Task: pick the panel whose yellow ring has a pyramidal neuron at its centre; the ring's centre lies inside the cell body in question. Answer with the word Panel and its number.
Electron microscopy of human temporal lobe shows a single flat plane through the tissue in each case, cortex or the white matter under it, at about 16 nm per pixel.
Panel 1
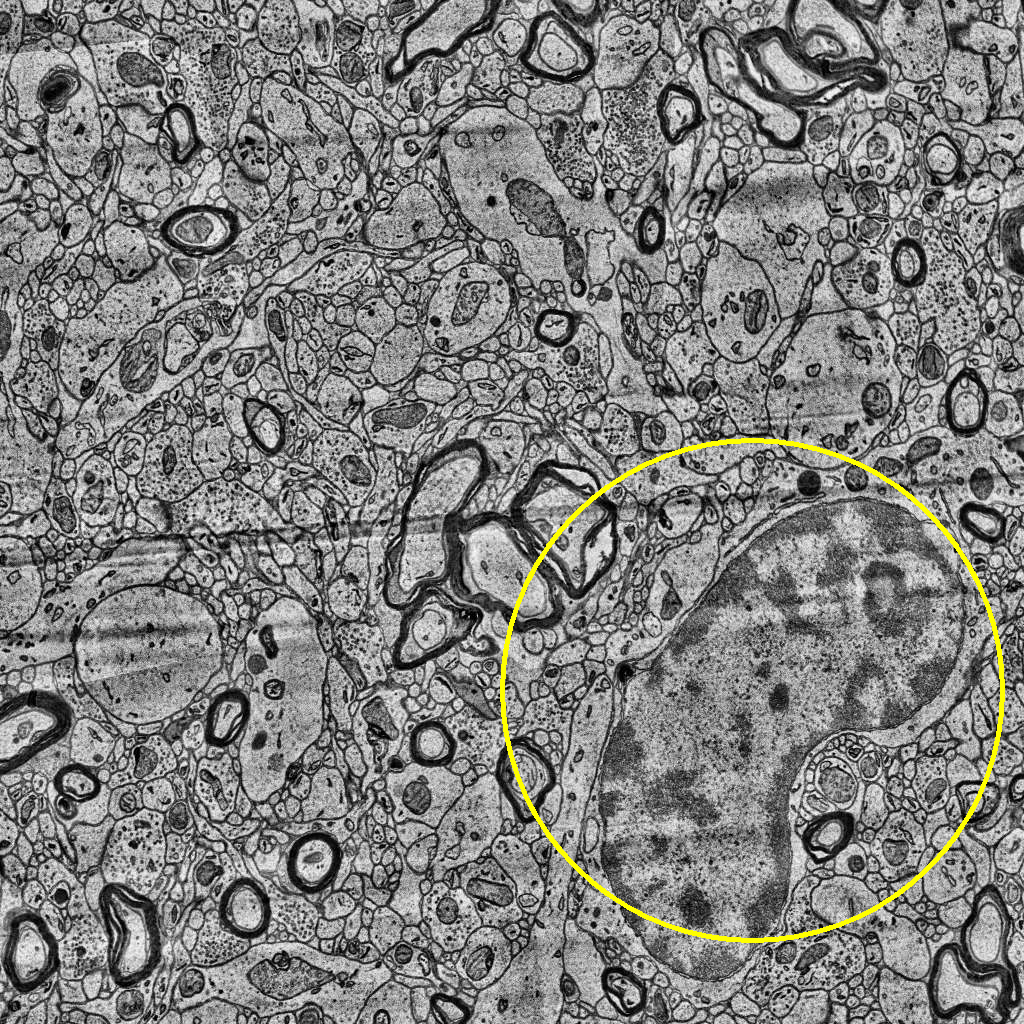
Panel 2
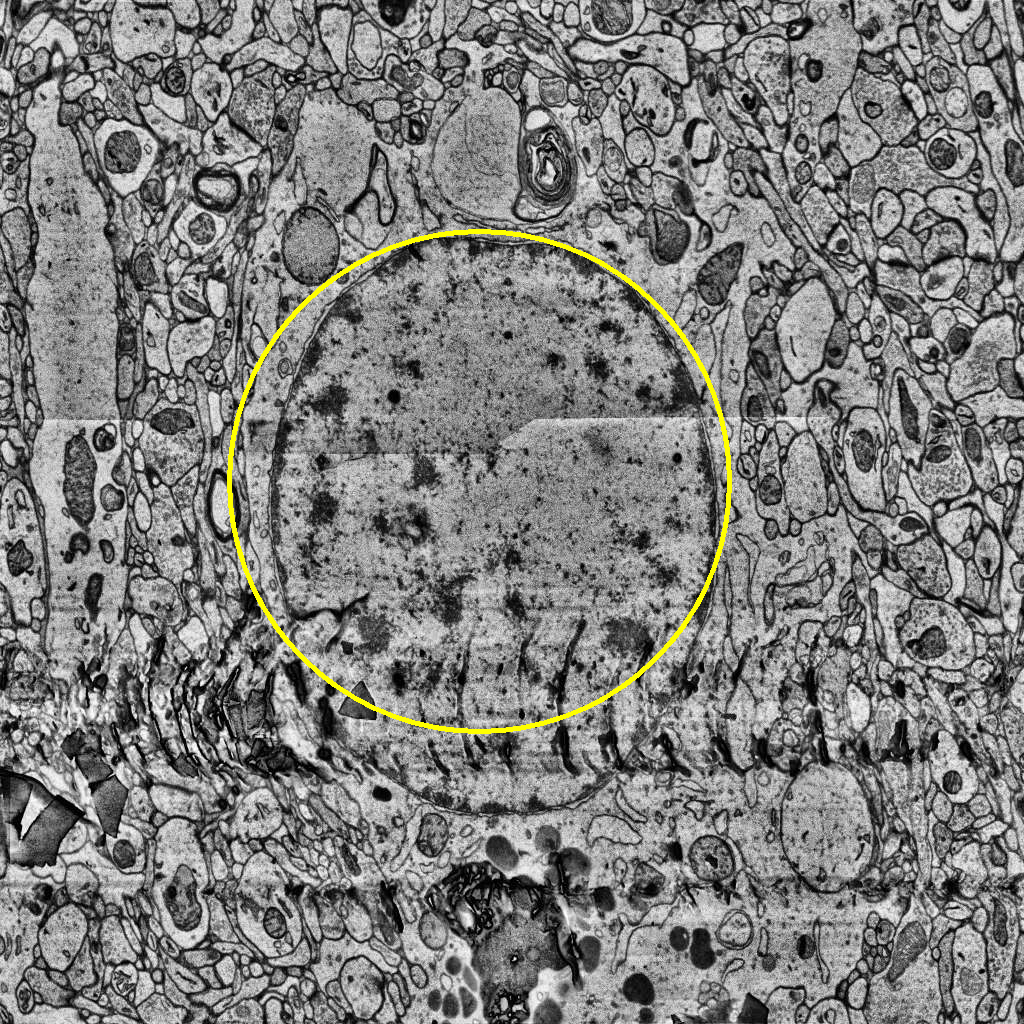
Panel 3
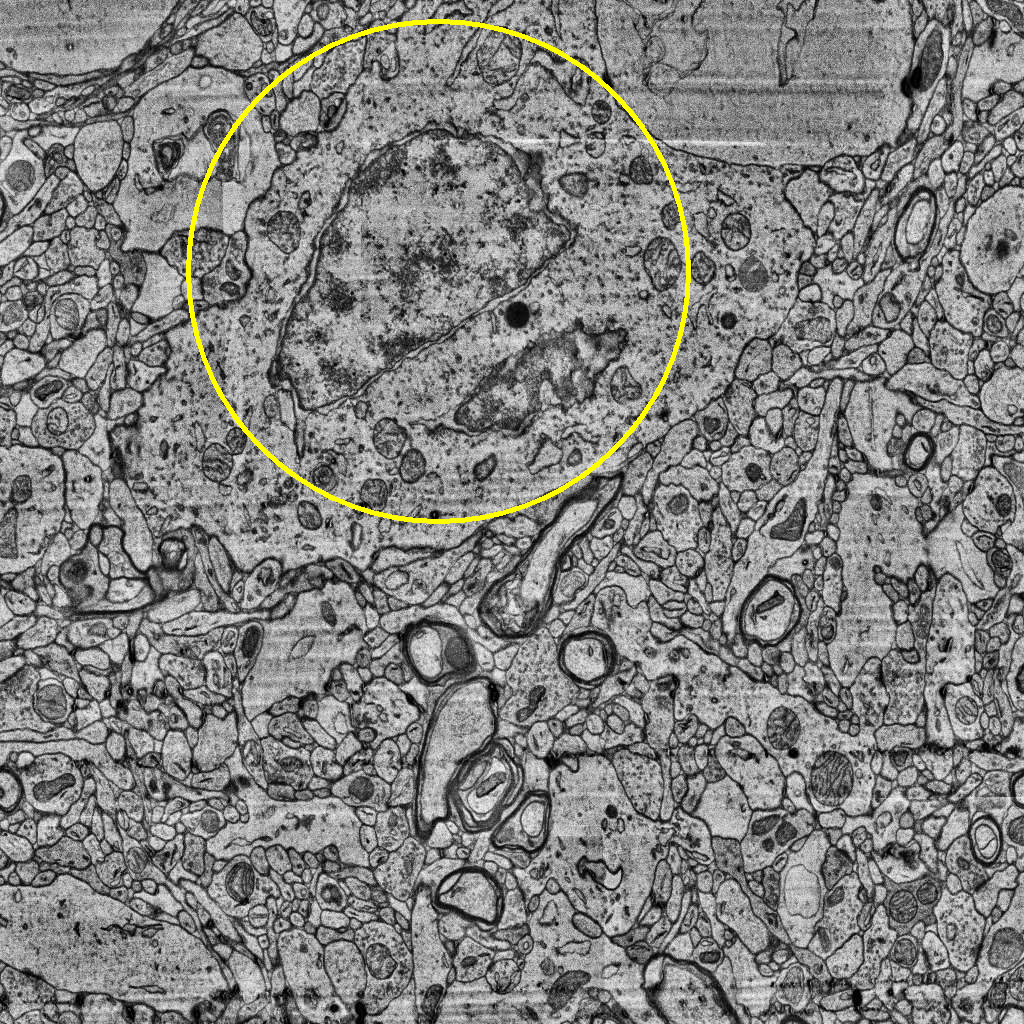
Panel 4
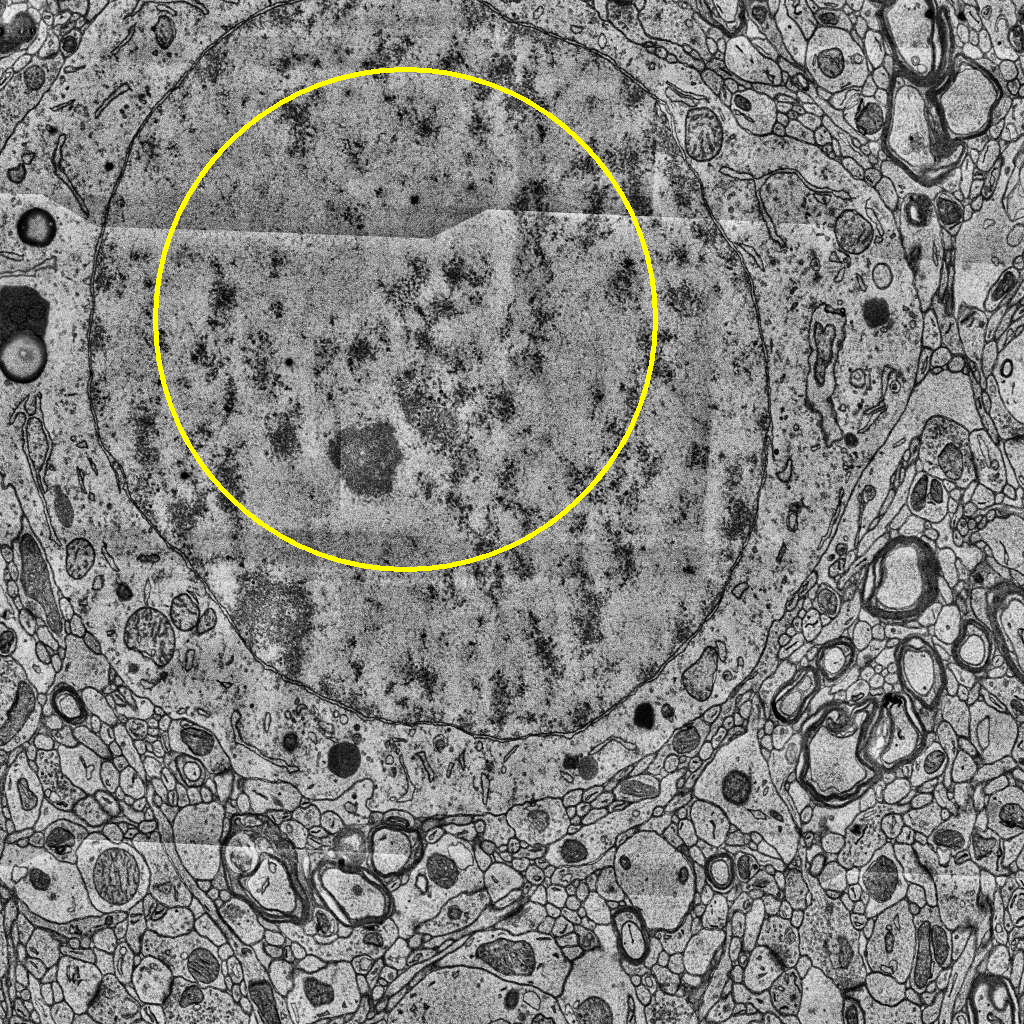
Panel 4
